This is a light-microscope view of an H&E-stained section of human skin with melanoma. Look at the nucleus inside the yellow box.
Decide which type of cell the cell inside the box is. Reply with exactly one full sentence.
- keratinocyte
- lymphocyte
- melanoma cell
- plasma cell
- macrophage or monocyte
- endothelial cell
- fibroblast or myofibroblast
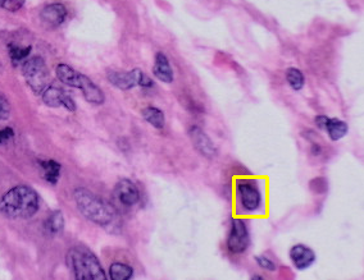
In the context of this tissue, the cell inside the box is a macrophage or monocyte.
